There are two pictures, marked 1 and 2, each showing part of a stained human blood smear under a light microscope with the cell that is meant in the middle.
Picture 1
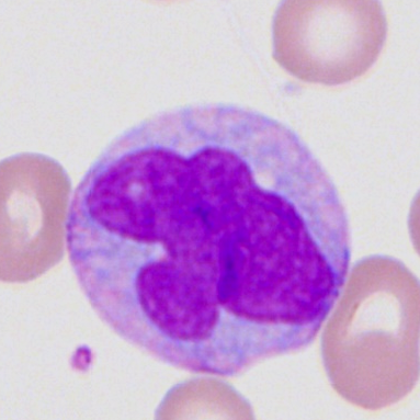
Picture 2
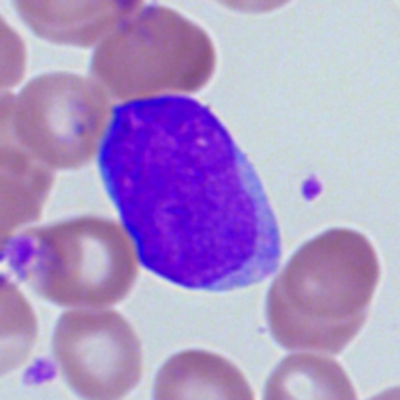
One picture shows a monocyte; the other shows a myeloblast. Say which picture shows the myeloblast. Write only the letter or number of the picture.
2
